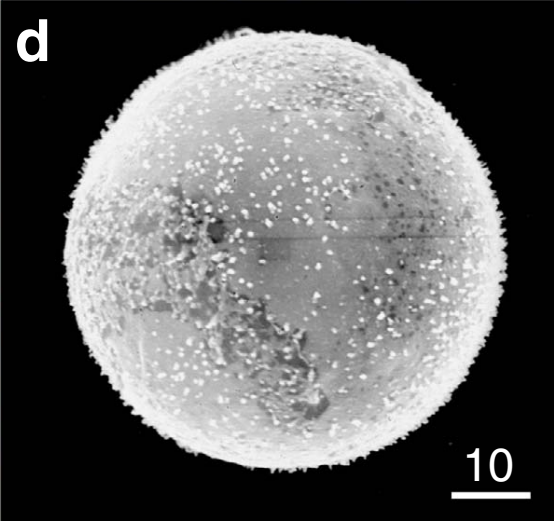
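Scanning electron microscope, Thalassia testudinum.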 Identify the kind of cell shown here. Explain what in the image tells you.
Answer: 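Pollen grain. A single spherical body fills the panel. Its surface is studded with many tiny projections.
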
